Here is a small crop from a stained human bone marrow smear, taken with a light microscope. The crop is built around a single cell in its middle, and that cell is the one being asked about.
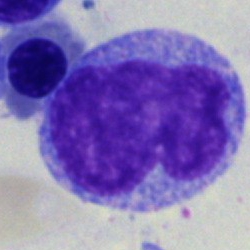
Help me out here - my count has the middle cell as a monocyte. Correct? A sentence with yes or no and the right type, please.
Yes, the cell occupying the middle of the crop is a monocyte.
